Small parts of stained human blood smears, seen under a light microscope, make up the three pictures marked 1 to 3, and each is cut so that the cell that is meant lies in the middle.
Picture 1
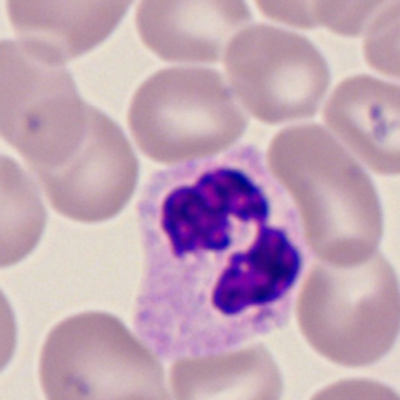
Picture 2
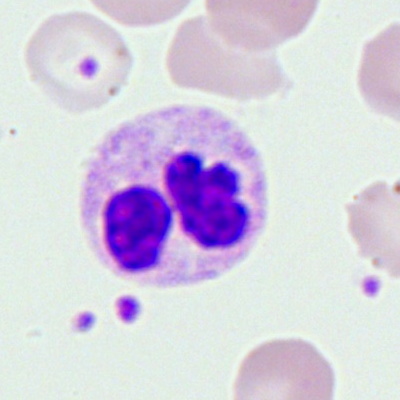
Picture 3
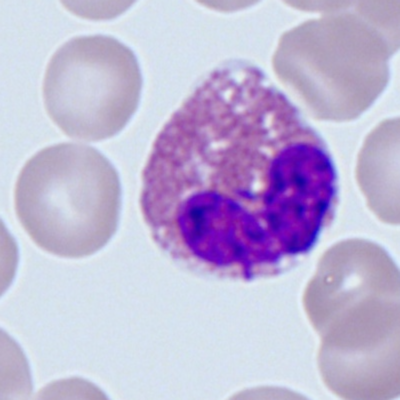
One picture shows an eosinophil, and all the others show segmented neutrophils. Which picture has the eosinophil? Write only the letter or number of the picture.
3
